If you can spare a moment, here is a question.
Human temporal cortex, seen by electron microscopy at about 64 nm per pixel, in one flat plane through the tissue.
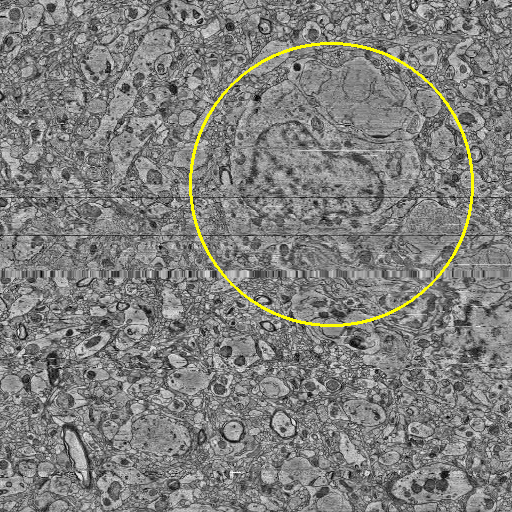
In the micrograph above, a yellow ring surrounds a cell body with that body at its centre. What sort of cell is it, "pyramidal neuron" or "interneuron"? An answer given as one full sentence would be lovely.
Centred inside the yellow ring, the cell body shown belongs to an interneuron in this micrograph.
